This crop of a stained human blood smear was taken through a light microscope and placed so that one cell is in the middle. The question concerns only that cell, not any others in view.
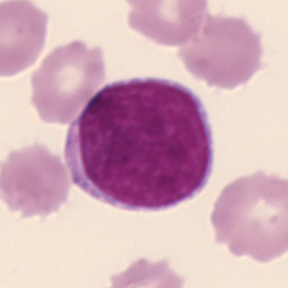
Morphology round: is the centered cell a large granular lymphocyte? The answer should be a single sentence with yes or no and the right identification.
No, the cell at the centre is a myeloblast, which rules out a large granular lymphocyte.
